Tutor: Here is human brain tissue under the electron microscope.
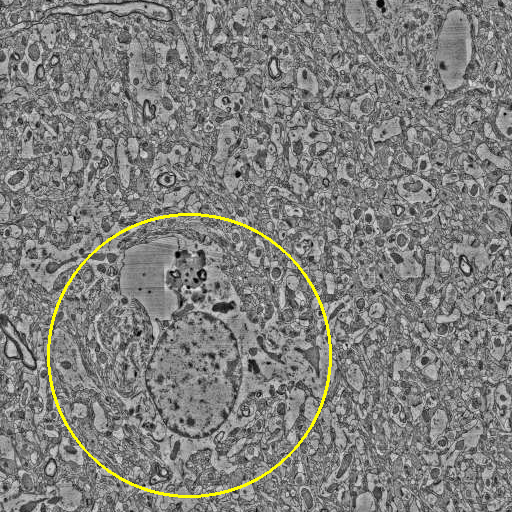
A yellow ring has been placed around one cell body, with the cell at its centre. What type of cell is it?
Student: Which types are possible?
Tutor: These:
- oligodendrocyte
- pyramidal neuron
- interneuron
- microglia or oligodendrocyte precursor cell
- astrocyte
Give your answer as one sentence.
What the ring picks out here is an astrocyte.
